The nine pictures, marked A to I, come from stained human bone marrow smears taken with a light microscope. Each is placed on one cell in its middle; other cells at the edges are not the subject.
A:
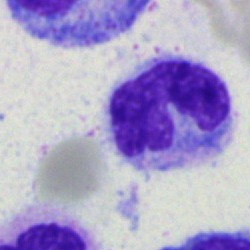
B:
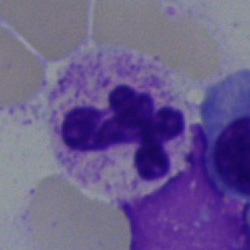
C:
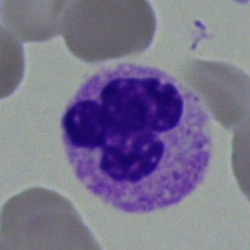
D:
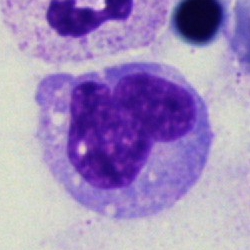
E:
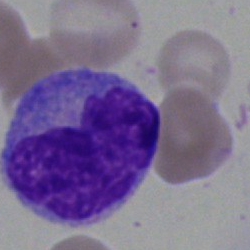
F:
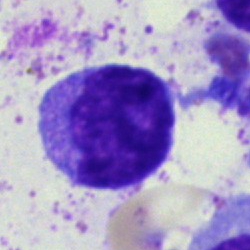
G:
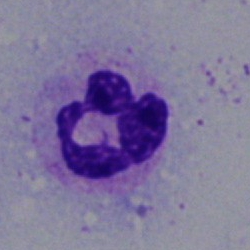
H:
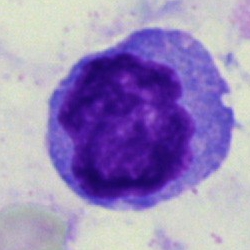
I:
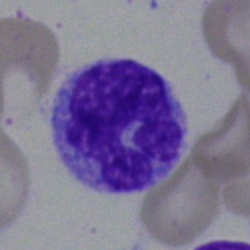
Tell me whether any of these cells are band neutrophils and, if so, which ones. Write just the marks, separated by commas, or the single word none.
none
